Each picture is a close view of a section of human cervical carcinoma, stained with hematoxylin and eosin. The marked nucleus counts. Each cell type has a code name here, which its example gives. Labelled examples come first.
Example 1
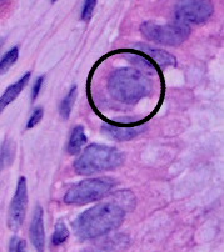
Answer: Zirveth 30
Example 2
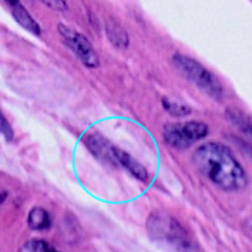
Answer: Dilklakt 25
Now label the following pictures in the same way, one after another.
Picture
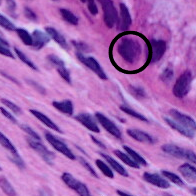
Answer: Zirveth 30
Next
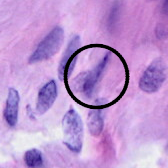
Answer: Dilklakt 25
